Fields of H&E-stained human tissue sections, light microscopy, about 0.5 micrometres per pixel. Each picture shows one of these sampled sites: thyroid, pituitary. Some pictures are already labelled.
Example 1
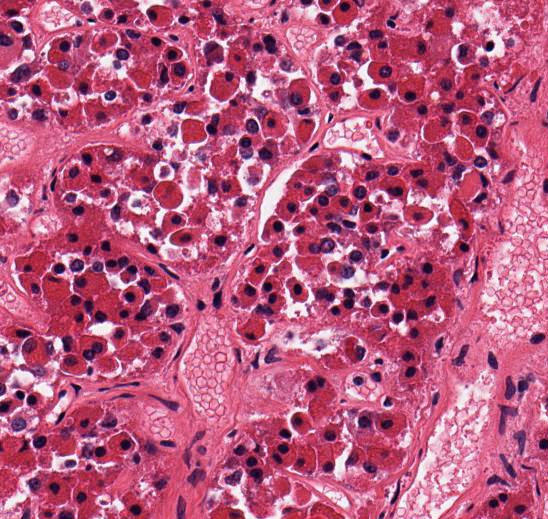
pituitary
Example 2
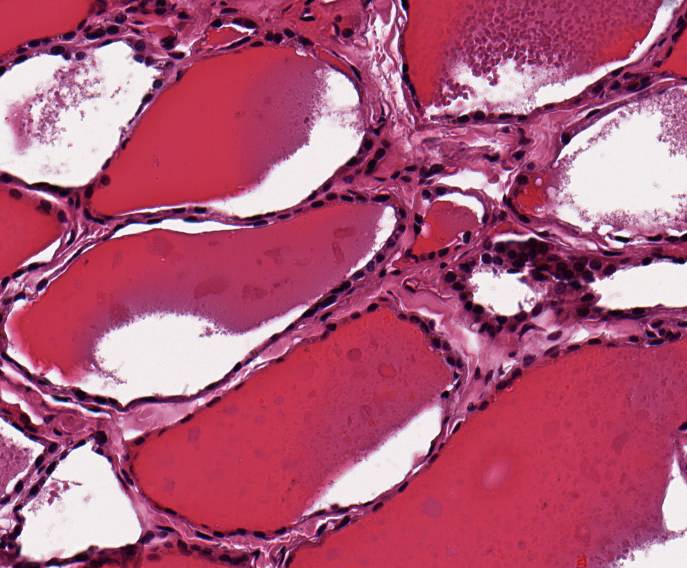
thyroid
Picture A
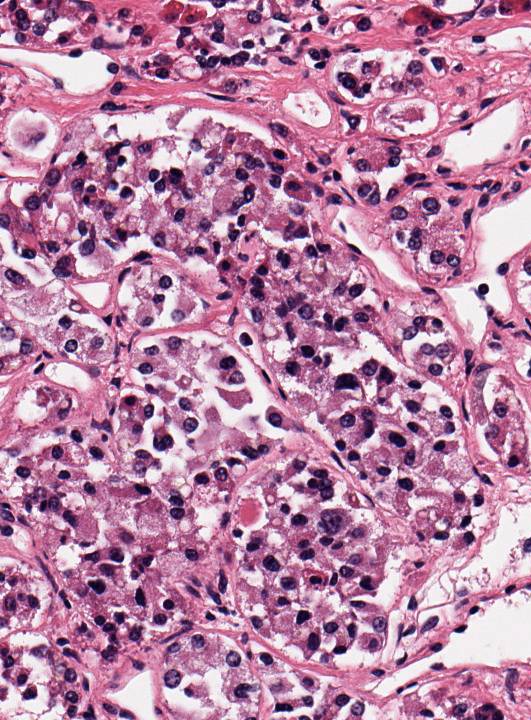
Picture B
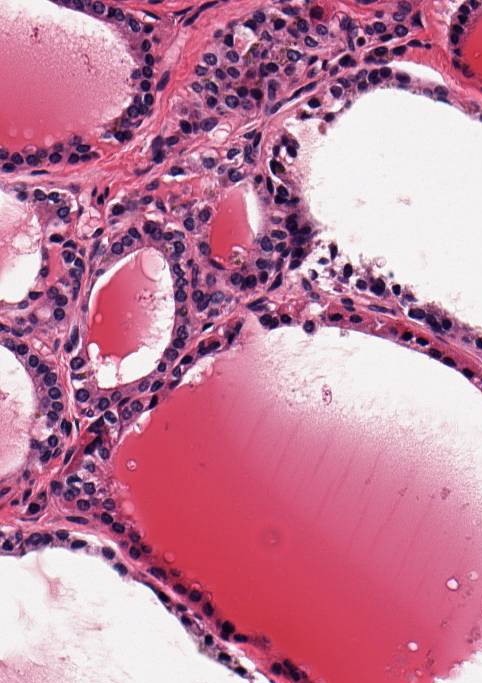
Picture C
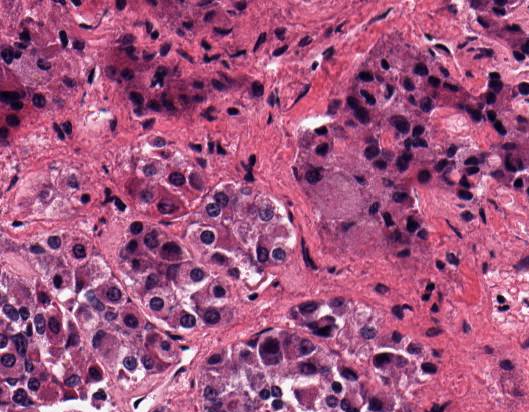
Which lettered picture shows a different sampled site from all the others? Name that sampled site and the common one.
B differs and shows thyroid; the others show pituitary.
